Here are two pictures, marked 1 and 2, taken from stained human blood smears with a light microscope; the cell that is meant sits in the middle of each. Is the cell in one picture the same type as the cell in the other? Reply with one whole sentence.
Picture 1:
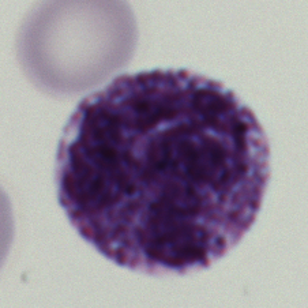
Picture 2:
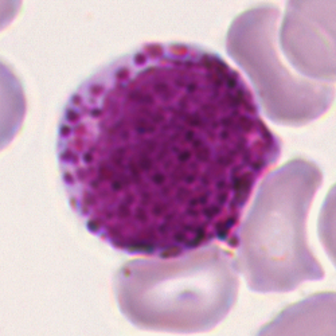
Yes, the two pictures both show basophils.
